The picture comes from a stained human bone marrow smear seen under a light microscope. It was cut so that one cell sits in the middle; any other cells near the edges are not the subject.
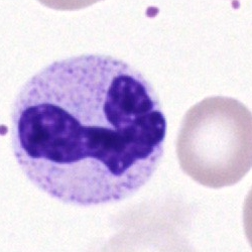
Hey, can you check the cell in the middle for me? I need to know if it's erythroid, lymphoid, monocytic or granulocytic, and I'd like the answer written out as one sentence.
The cell positioned centrally in this crop arises from the granulocytic lineage.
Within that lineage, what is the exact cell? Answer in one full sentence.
Within this crop, a segmented neutrophil occupies the central position.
